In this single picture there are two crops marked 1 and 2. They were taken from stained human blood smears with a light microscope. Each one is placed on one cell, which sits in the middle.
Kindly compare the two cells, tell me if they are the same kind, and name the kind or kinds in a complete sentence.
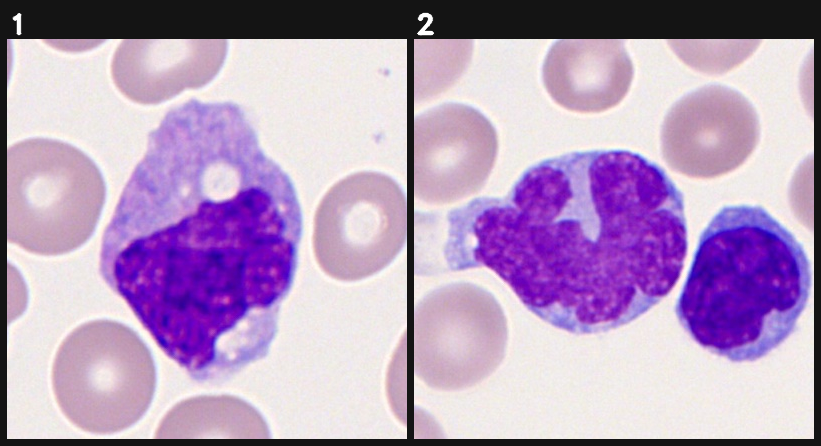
Yes, in the middle of both crops lie monocytes.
